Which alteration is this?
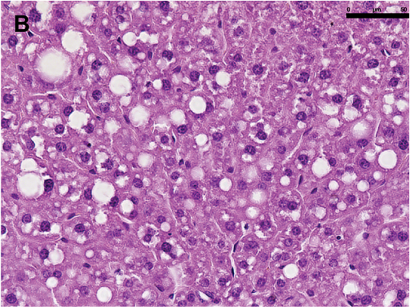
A: macrosteatosis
